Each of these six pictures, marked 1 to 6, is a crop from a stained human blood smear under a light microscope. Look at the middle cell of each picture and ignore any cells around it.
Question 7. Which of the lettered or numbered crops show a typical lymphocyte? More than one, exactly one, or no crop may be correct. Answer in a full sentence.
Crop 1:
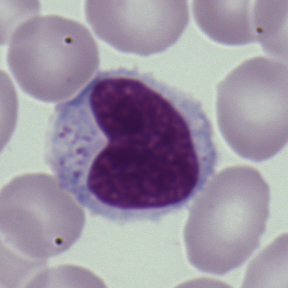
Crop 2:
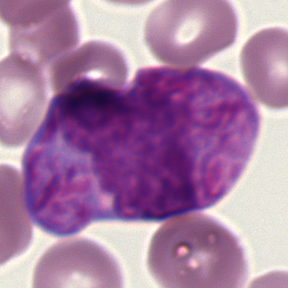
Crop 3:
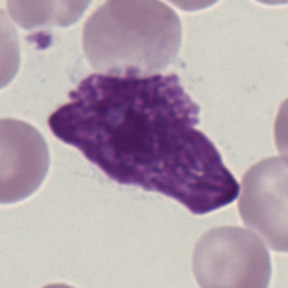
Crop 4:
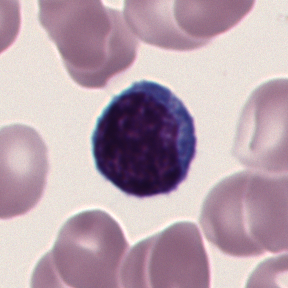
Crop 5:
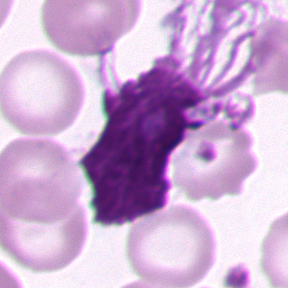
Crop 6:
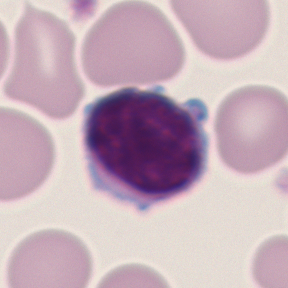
Crops 4 and 6 show typical lymphocytes as their centred cells.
